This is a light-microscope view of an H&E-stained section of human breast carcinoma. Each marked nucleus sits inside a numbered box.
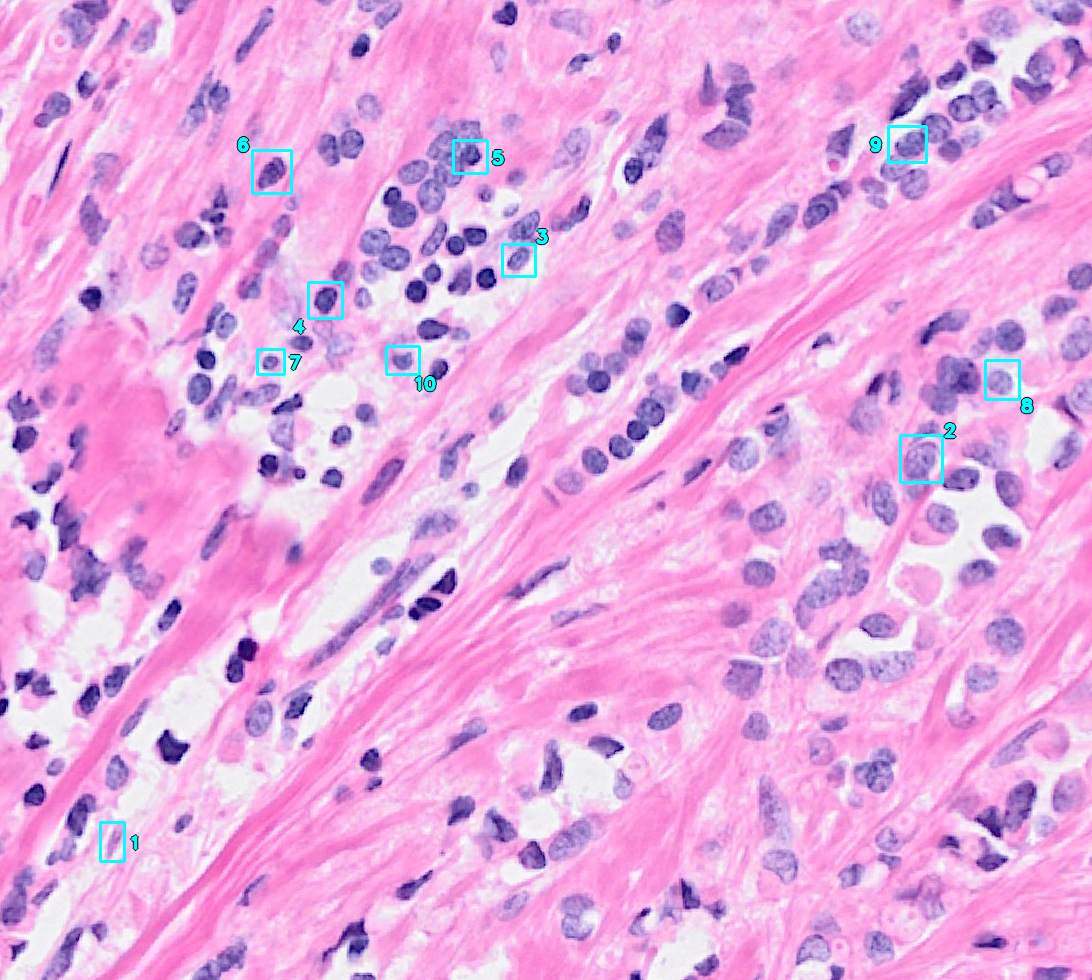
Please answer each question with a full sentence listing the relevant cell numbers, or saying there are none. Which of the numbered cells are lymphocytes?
The cells labelled 3, 4, 5, 6, 7 and 10 in this section are lymphocytes.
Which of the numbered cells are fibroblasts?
The nucleus labelled 1 alone belongs to a fibroblast; the other marked nuclei do not.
